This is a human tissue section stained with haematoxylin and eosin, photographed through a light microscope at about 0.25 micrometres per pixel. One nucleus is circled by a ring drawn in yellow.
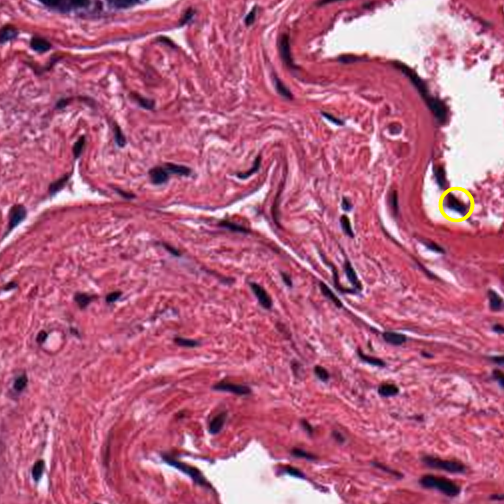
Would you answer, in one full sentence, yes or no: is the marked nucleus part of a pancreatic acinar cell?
No, the marked nucleus lies within a supporting cell, not within a pancreatic acinar cell.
